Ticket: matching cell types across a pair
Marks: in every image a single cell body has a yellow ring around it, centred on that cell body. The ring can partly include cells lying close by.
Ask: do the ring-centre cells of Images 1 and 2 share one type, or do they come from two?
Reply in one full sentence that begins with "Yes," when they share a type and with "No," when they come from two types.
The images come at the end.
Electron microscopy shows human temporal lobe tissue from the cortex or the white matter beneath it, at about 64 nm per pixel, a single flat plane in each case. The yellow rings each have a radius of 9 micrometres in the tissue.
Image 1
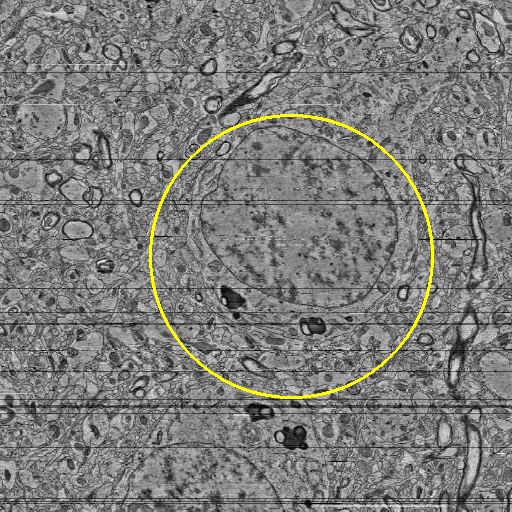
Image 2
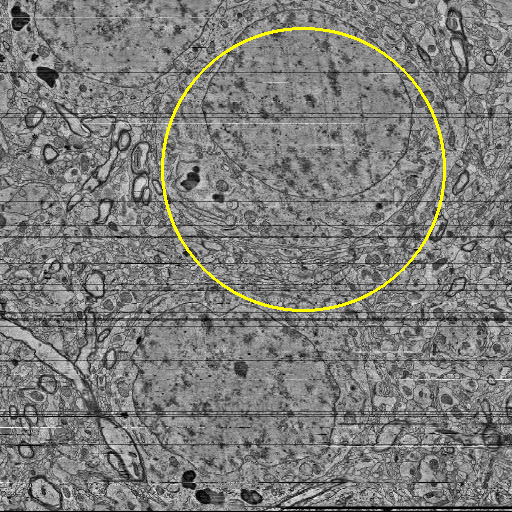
Yes, the cells in the centres of the rings in Image 1 and Image 2 share one type.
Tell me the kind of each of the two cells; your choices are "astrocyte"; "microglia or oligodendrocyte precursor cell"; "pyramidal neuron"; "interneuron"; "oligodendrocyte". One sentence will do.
Both pictures show a pyramidal neuron at the centre of the ring.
